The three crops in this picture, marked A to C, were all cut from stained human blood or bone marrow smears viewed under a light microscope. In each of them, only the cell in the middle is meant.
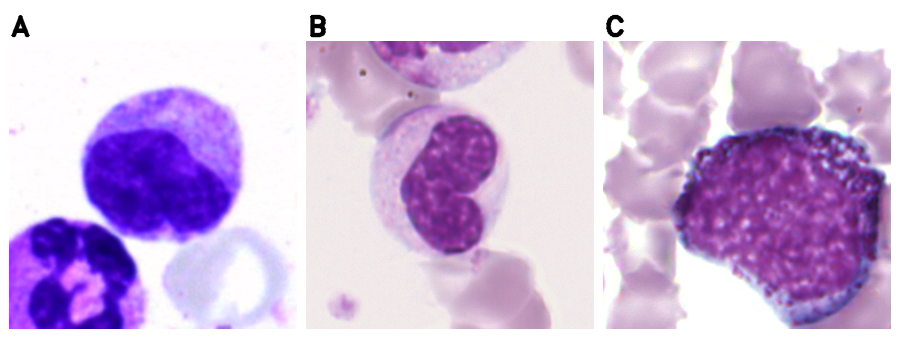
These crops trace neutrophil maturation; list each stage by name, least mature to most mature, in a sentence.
Once sorted from least to most mature, the sequence is crop C (a promyelocyte), crop A (a metamyelocyte) and crop B (a band neutrophil).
